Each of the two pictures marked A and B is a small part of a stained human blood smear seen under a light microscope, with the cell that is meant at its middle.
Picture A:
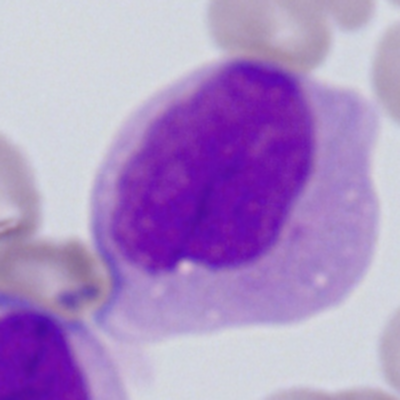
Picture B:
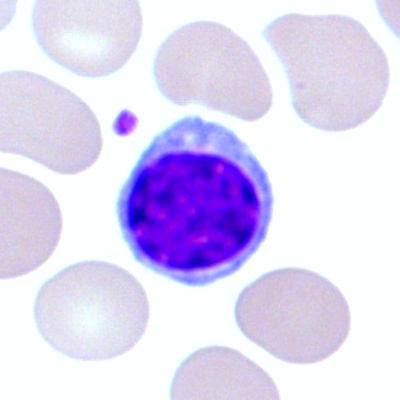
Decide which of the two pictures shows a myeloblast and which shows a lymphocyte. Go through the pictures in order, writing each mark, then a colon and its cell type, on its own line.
A: myeloblast
B: lymphocyte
